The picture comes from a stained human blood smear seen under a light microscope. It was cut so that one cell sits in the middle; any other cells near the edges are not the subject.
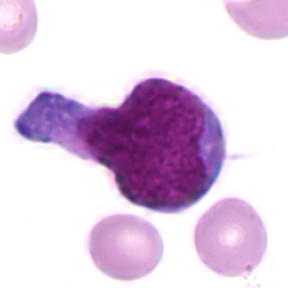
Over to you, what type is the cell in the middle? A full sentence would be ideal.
In short, the cell at the center is an atypical promyelocyte.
